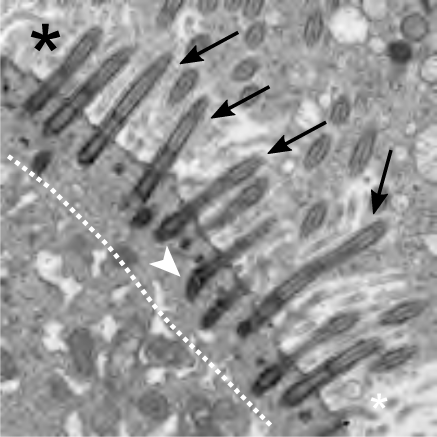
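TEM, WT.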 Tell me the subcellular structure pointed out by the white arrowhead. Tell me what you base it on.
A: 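Dark dense short cylinders sit at the bases of the rod-like projections. They lie in a row just under the cell surface along the dotted line. On this evidence: basal bodies.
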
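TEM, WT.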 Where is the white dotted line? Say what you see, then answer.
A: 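Apical region of the cells. Cytoplasm with organelles lies on one side, the lumen with projections on the other.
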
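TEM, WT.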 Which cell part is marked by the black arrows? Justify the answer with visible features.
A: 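Cilia. Long slender rod-like profiles project from the cell surface into the lumen. The rods are many, parallel and closely packed.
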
